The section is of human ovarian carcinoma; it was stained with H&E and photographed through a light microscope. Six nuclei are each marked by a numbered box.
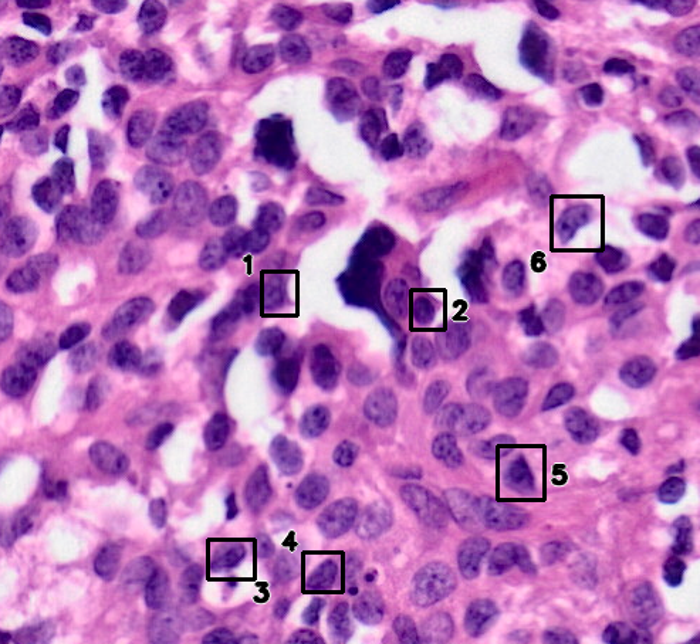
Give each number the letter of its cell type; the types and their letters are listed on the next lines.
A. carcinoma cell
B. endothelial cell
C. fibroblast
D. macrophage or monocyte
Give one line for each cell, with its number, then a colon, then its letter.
1: A
2: A
3: D
4: A
5: A
6: D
